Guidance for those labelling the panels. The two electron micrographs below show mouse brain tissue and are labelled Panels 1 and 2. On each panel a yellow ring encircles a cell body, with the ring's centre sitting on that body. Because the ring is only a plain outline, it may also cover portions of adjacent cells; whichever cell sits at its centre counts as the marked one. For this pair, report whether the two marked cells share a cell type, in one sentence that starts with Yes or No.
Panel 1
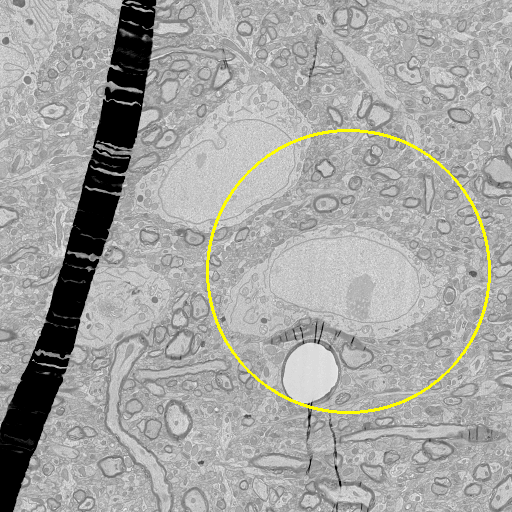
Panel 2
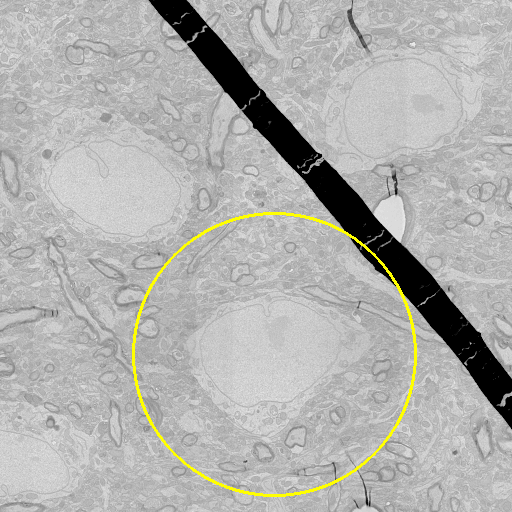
Yes, in Panel 1 and Panel 2 the marked cells at the ring centres share one type.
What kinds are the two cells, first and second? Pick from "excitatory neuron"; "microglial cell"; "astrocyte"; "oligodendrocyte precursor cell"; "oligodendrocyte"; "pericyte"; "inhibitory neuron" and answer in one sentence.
Each one of the two ringed cells is an excitatory neuron.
